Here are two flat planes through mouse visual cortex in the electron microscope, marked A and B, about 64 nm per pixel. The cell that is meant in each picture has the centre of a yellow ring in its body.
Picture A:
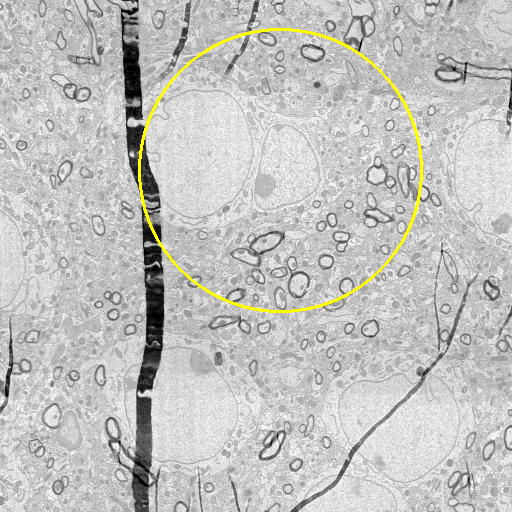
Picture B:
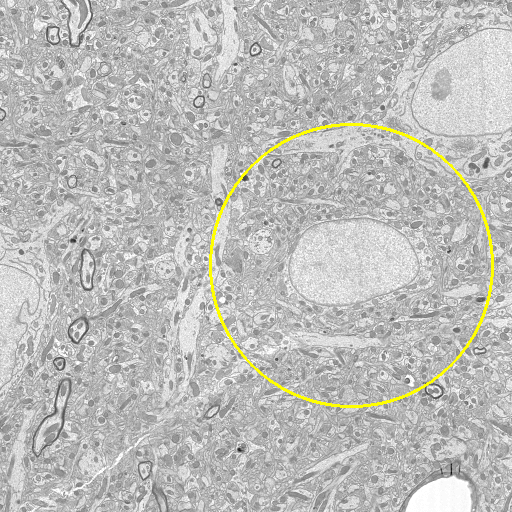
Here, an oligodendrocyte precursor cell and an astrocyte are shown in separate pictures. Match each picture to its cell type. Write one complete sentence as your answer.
In picture A the cell is an oligodendrocyte precursor cell; in picture B, an astrocyte.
